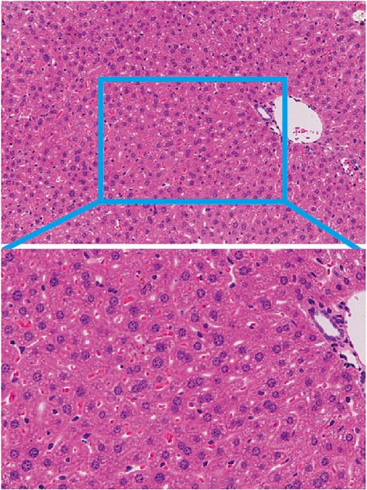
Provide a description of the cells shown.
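Liver parenchyma with polygonal hepatocytes arranged in cords that radiate between thin sinusoids, some holding red blood cells. The hepatocytes have evenly pink, finely granular cytoplasm and round, central, purple nuclei with visible nucleoli; a few cells carry two nuclei. A central vein with a clear lumen lies at the right edge of the field, with flattened lining cells. The enlarged lower image shows the same orderly plates of hepatocytes and open sinusoids in more detail.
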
